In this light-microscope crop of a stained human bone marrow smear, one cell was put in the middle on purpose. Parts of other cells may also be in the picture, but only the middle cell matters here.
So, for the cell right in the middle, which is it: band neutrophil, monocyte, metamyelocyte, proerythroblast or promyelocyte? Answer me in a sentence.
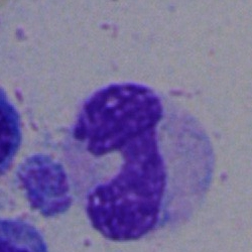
The cell found in the middle of this crop is a band neutrophil.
